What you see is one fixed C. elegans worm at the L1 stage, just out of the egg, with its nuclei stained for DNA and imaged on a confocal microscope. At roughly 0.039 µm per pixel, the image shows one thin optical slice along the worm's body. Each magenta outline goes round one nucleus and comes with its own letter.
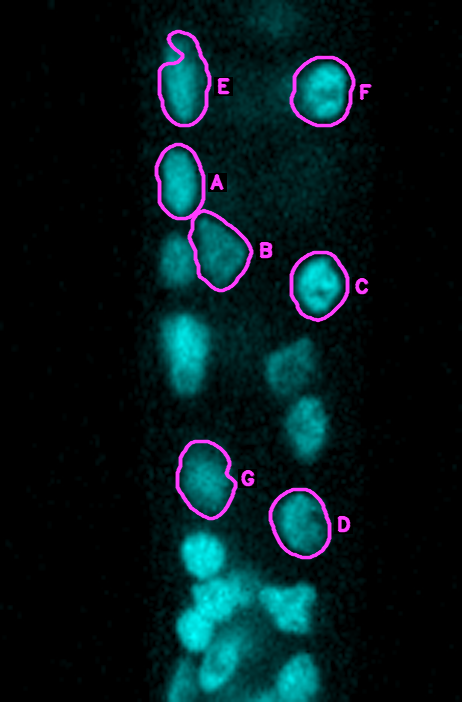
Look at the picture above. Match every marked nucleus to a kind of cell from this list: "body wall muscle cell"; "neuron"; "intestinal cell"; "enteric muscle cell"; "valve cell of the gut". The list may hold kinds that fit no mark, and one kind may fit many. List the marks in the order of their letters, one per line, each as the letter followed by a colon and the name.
A: neuron
B: intestinal cell
C: body wall muscle cell
D: intestinal cell
E: body wall muscle cell
F: body wall muscle cell
G: enteric muscle cell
